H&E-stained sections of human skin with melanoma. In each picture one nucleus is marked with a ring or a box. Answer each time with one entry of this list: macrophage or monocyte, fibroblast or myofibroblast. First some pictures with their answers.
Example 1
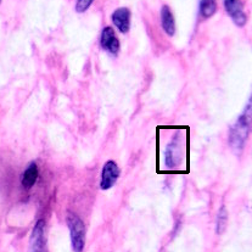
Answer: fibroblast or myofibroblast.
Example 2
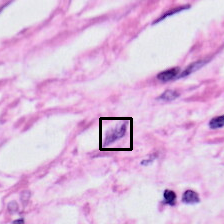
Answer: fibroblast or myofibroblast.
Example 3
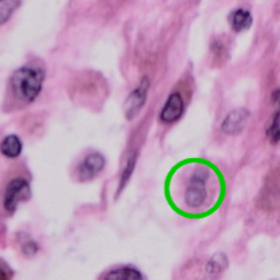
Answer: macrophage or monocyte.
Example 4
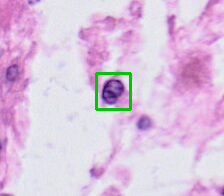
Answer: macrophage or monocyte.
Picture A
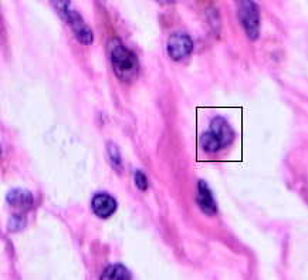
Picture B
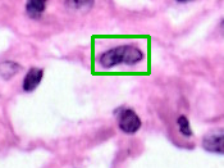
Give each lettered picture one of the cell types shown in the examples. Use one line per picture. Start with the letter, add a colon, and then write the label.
A: macrophage or monocyte.
B: macrophage or monocyte.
